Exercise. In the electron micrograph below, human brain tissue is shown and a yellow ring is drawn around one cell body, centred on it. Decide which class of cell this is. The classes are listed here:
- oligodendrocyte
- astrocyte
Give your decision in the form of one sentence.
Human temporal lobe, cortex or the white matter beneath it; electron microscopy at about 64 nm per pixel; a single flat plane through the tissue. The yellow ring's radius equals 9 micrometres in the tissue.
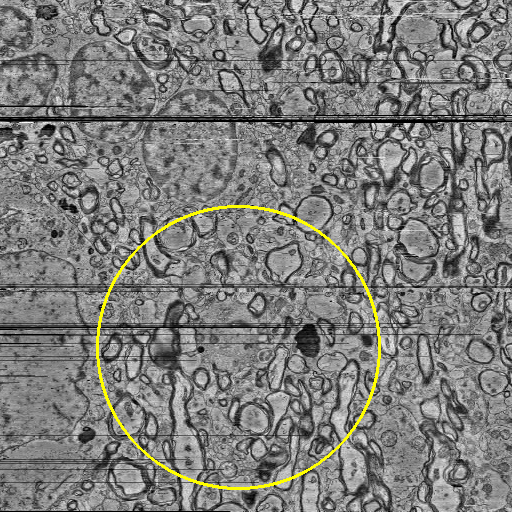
The cell body marked by the ring belongs to an oligodendrocyte.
